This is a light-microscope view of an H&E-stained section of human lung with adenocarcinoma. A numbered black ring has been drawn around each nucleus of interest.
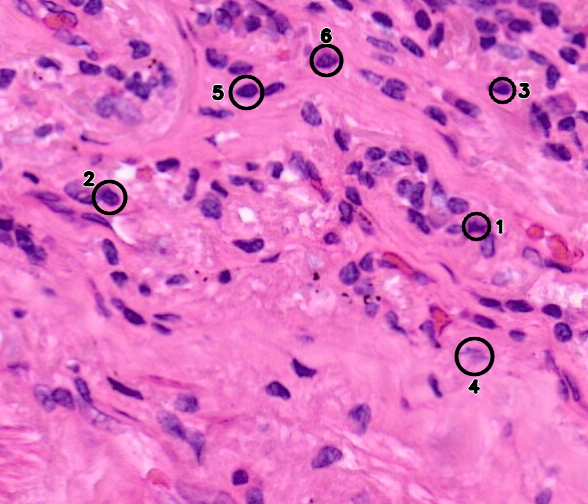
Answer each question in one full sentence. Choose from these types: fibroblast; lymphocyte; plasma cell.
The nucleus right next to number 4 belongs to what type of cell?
The nucleus nearest to number 4 is that of a plasma cell.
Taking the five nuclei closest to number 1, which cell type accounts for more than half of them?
The majority of the five nuclei closest to number 1 belong to lymphocytes.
